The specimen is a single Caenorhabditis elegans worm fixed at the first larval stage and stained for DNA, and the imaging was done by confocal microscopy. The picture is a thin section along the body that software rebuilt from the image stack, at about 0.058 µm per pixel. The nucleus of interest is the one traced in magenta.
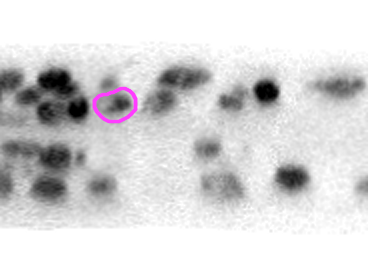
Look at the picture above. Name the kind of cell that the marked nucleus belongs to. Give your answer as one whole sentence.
The marked nucleus belongs to a pharyngeal muscle cell.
